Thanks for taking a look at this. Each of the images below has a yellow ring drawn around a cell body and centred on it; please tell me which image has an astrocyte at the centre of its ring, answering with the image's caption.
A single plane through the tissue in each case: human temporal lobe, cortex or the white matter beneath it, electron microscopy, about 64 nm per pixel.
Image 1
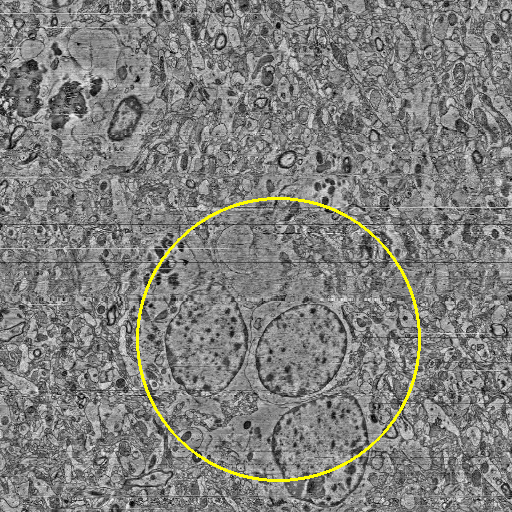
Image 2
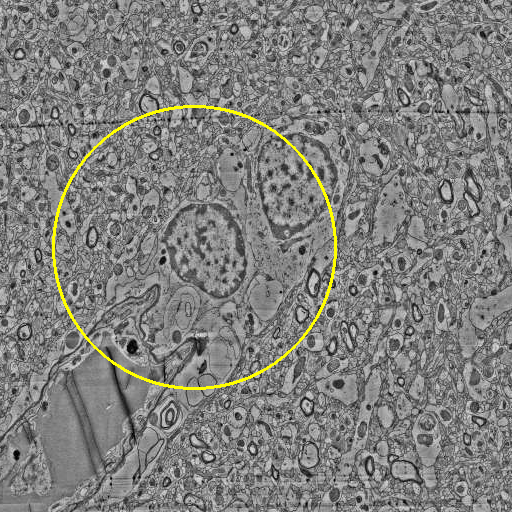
Image 1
